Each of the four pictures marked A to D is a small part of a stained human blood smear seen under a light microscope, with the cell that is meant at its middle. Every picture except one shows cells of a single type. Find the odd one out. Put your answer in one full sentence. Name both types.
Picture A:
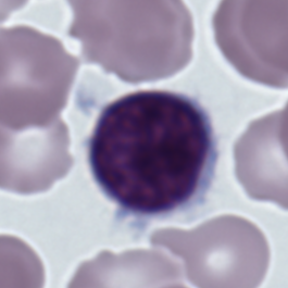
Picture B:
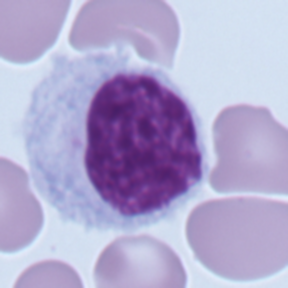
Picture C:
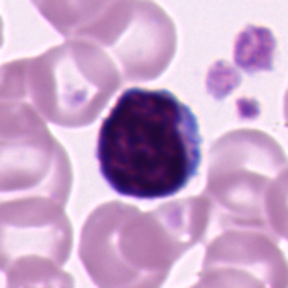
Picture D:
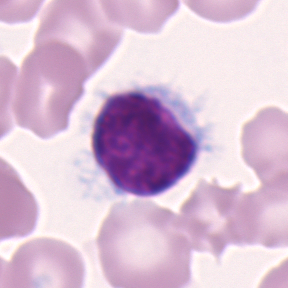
The different one is picture C; it shows a typical lymphocyte, whereas all the others show hairy cells.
